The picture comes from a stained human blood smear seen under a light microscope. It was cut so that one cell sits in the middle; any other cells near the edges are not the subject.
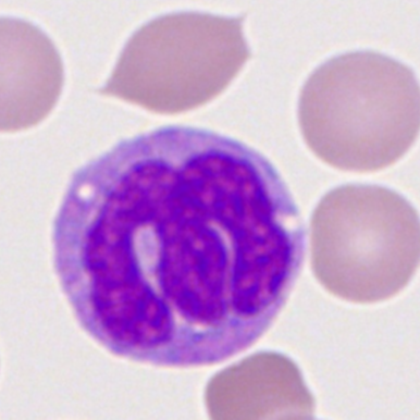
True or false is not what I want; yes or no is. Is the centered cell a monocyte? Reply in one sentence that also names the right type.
Yes, the cell lying in the centre of the crop is identified as a monocyte.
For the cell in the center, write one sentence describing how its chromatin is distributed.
What stands out is chromatin that is coarsely clumped.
